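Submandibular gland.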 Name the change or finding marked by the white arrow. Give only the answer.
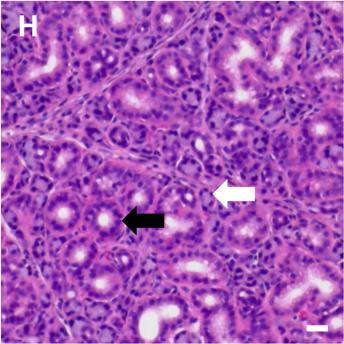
Atrophy of acinar cells.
